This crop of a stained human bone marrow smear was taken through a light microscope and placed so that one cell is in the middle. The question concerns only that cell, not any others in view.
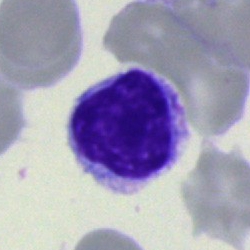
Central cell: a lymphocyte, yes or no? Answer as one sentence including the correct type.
Yes, the cell at the midpoint of the crop is a lymphocyte.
